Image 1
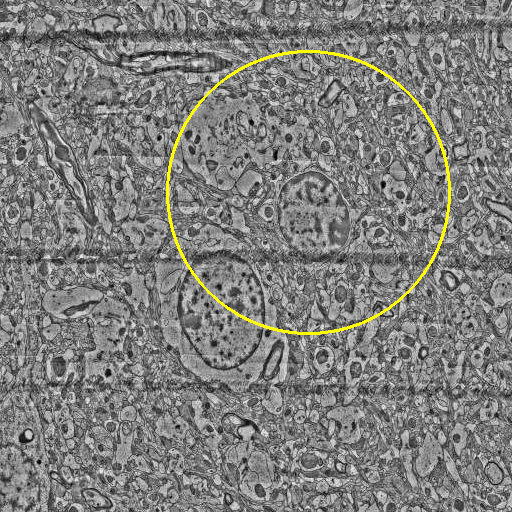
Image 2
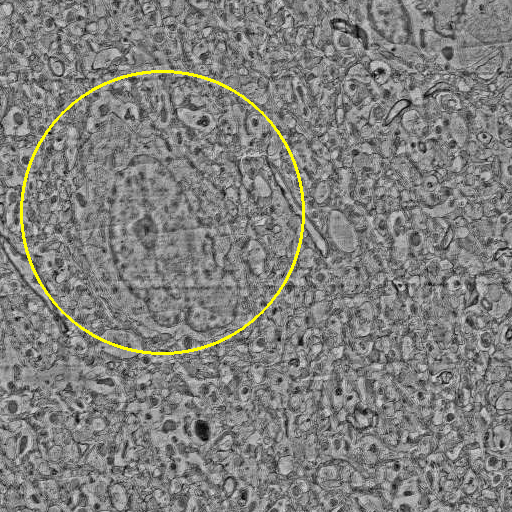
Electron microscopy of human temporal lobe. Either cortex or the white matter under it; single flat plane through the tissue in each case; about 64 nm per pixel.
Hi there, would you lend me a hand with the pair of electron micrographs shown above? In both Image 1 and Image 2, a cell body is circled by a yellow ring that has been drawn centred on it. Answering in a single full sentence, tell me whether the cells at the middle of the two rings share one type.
No, the ringed cells in Image 1 and Image 2 belong to two types.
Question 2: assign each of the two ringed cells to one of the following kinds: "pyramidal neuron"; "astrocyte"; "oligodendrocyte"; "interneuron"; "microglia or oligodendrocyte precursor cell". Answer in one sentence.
The two cells are a microglial cell or oligodendrocyte precursor cell in the first picture and an interneuron in the second.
